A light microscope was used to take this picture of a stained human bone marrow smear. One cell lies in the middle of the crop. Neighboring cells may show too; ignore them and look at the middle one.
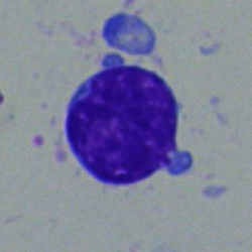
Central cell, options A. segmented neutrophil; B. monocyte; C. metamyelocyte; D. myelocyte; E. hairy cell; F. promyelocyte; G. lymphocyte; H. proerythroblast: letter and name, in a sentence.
The cell centered in the crop is a lymphocyte, making option G the correct pick.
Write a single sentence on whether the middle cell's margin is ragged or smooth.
Not smooth, the outline of the cell is ragged or drawn out into projections.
